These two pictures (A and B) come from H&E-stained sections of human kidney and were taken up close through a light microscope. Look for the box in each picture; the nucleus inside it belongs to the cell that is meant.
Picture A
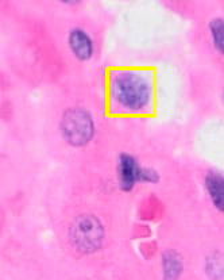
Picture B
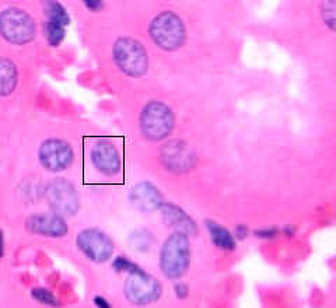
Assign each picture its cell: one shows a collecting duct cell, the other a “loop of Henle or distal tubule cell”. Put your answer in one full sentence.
Picture A shows a “loop of Henle or distal tubule cell” and picture B shows a collecting duct cell.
